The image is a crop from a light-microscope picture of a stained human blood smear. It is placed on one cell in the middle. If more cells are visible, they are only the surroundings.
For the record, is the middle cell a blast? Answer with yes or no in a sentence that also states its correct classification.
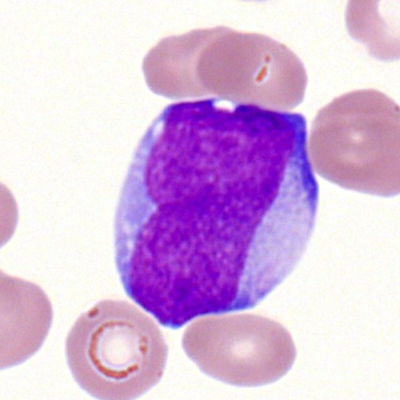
Yes, the cell shown centrally is a blast.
